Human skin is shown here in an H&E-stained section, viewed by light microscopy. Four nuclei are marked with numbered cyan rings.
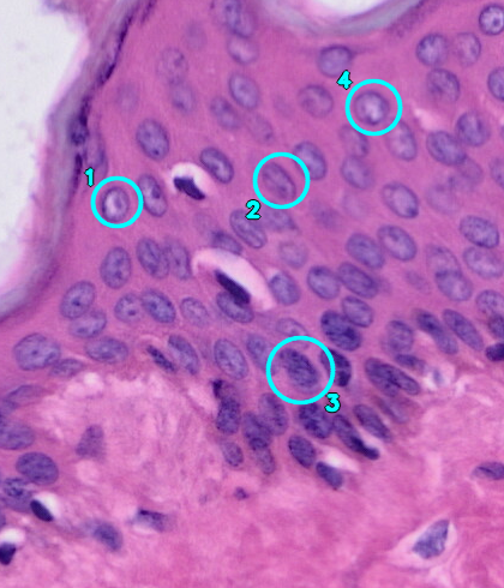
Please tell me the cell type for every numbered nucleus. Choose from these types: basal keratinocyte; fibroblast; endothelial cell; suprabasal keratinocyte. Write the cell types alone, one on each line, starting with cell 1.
suprabasal keratinocyte
suprabasal keratinocyte
basal keratinocyte
suprabasal keratinocyte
